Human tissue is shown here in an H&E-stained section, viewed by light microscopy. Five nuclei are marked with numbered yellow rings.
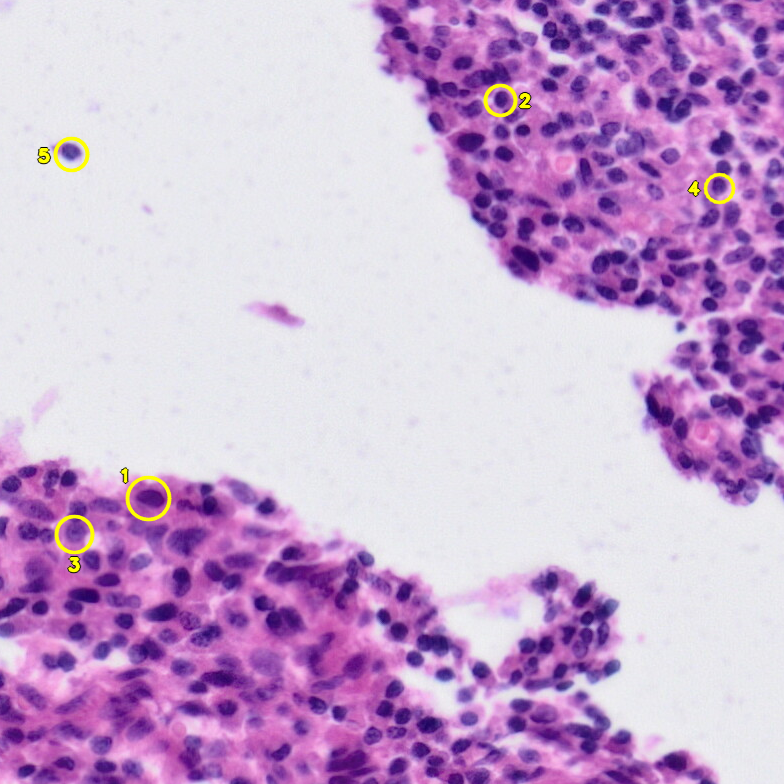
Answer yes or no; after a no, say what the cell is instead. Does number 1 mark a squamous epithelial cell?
Yes.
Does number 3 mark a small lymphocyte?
No, it is a plasma cell.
